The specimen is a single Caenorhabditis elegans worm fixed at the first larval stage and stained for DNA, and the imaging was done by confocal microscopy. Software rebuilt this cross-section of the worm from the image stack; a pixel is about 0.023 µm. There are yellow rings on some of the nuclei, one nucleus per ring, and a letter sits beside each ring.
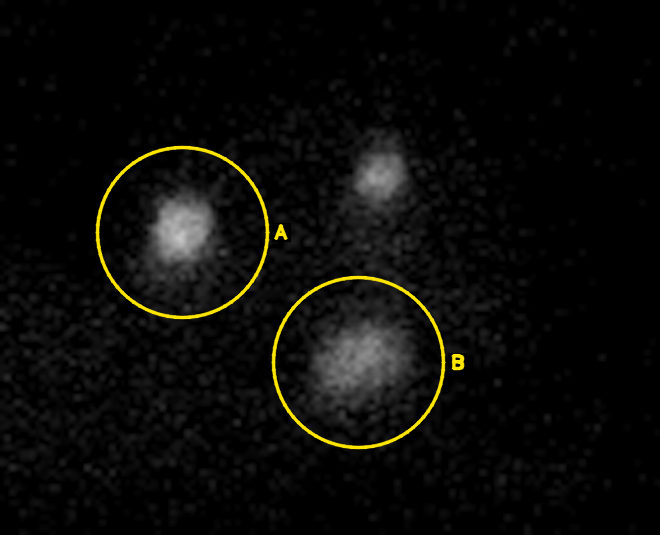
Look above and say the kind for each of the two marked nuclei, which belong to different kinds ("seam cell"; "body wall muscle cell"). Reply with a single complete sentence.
A is in a body wall muscle cell and B is in a seam cell.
